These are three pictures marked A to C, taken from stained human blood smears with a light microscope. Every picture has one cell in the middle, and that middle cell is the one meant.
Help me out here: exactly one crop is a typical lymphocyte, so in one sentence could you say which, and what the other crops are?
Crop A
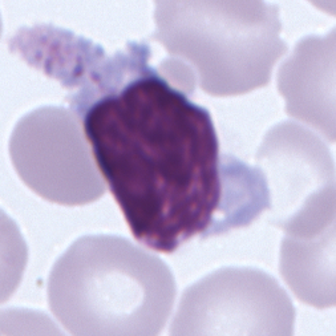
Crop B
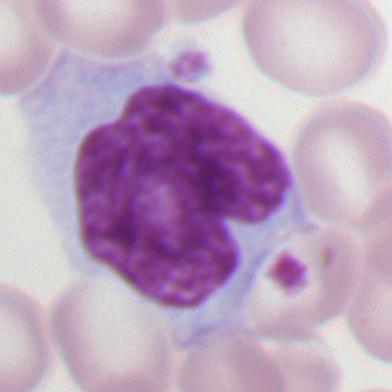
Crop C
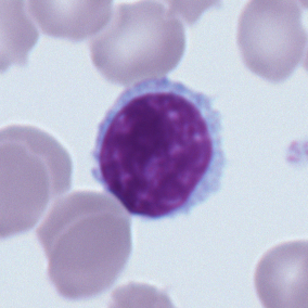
Crop C is showing a typical lymphocyte, while crop A is a large granular lymphocyte and crop B is a monocyte.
